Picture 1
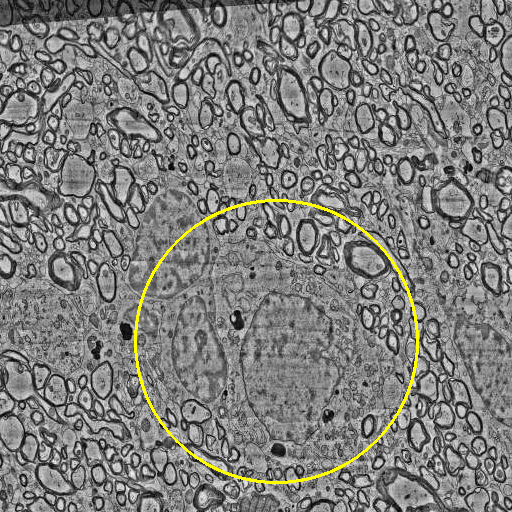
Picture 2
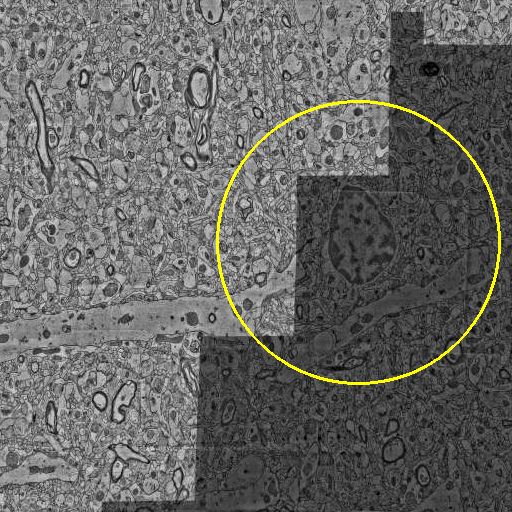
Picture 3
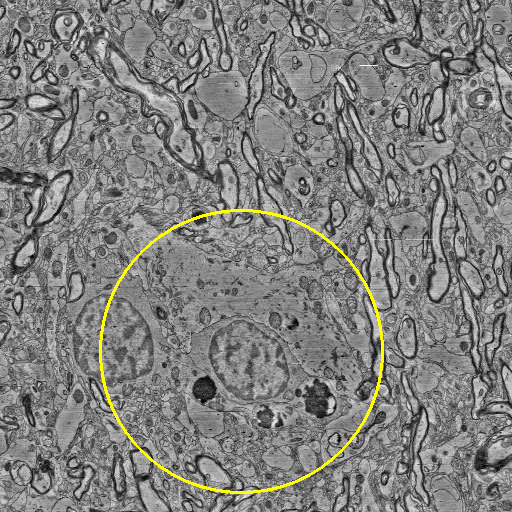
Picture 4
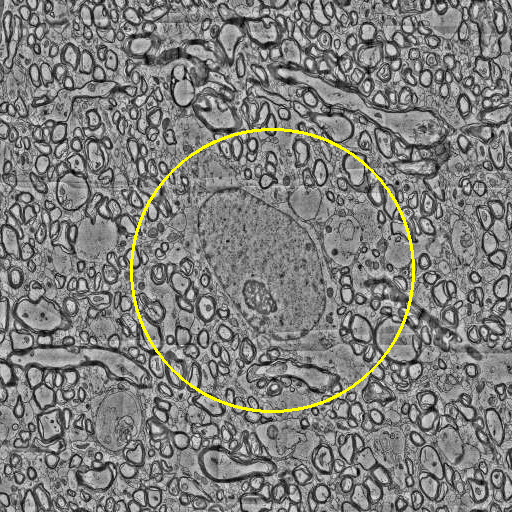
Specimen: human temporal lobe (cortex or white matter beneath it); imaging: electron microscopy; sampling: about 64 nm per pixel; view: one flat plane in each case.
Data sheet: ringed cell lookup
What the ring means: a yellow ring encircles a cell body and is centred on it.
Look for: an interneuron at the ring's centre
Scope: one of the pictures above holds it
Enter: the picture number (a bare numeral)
1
